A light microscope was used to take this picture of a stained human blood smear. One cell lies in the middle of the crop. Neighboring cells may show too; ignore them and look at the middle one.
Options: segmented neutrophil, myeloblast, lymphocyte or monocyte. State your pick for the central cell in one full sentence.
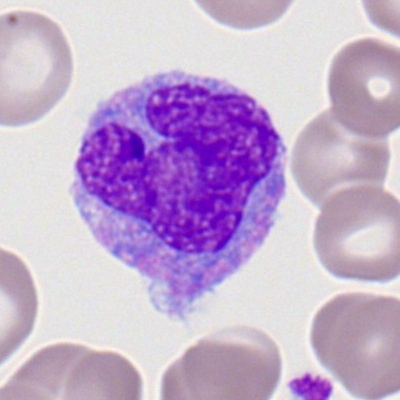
Centrally within this crop lies a monocyte.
